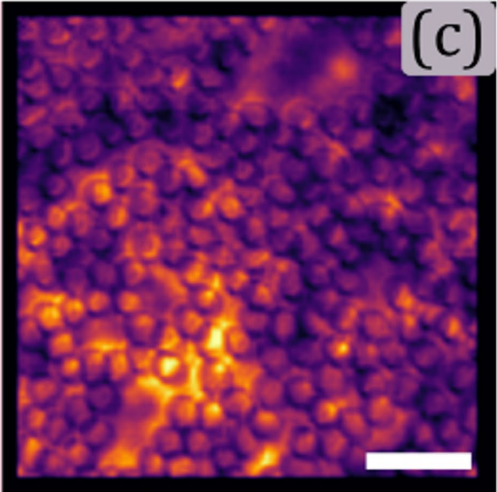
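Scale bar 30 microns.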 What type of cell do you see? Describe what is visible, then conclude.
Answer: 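Red blood cell. The field is densely covered by small round cells of uniform size. The cells have no visible nuclei.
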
